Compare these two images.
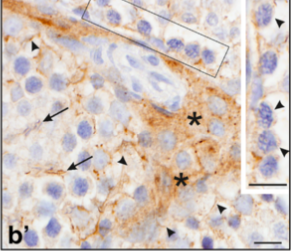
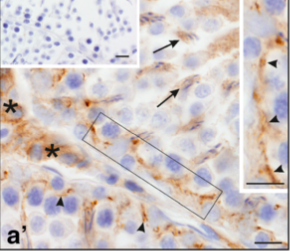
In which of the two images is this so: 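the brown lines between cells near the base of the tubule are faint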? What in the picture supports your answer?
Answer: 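Second image: the arrowheads point to distinct brown linear stain between basal cells.
Conclusion: the first image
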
